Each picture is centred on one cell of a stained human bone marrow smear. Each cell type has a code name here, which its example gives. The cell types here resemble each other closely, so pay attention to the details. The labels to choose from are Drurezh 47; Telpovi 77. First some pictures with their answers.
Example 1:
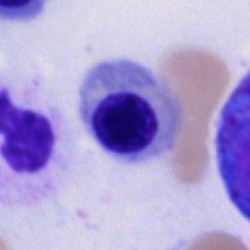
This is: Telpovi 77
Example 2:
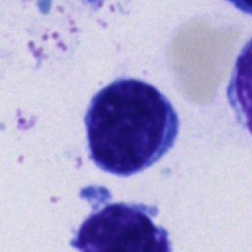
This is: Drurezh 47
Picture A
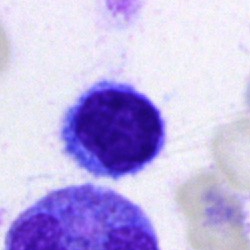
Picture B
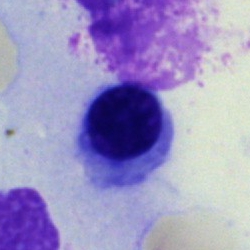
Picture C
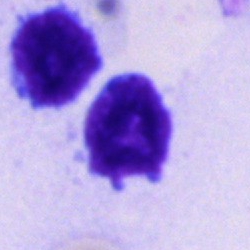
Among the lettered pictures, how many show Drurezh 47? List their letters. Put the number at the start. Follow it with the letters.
2: A, C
